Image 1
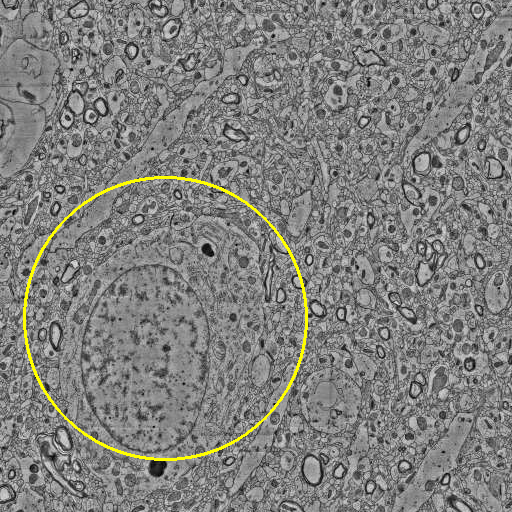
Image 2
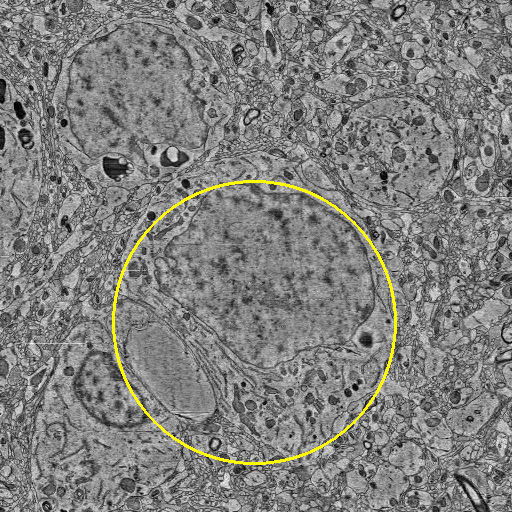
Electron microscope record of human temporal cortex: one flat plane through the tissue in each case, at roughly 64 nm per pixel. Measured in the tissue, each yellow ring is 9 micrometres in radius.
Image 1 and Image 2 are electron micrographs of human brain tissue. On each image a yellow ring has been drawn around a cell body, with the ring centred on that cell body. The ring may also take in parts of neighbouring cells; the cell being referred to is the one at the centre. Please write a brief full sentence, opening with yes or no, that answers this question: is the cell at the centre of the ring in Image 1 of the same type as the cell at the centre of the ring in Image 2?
Yes, both cells are of the same type.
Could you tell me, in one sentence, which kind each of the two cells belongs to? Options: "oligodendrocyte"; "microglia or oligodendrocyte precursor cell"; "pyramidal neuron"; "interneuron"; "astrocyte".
Each of the two pictures has an interneuron at the ring centre.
